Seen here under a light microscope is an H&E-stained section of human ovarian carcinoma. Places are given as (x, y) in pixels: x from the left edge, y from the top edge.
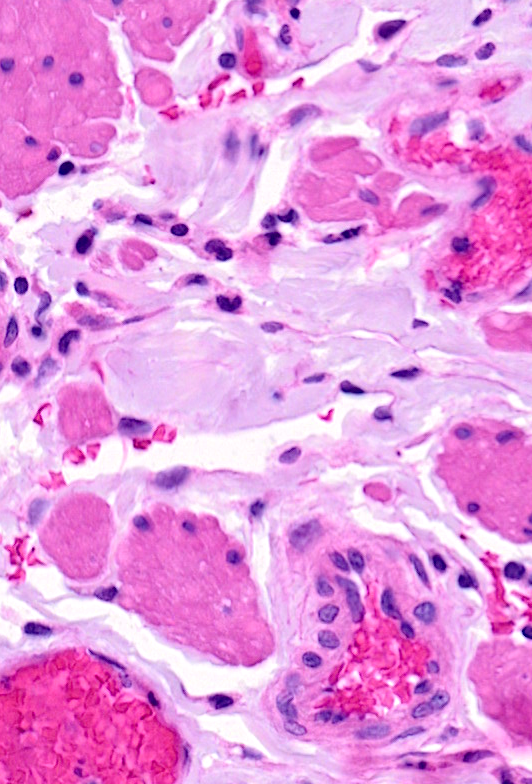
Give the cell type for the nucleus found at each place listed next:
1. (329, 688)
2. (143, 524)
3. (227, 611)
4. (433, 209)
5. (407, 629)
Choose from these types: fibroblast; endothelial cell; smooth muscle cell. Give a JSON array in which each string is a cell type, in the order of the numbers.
["endothelial cell", "smooth muscle cell", "smooth muscle cell", "smooth muscle cell", "endothelial cell"]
